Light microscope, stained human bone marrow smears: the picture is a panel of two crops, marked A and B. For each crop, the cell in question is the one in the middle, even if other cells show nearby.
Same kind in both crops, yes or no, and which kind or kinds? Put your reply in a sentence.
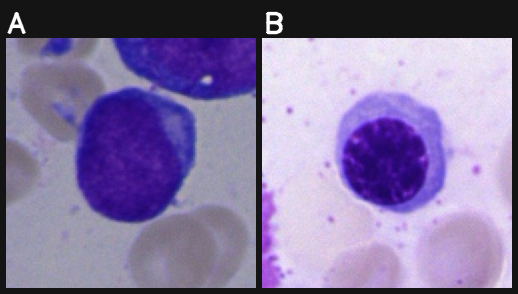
No, crop A gives us a blast and crop B gives us an erythroblast.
